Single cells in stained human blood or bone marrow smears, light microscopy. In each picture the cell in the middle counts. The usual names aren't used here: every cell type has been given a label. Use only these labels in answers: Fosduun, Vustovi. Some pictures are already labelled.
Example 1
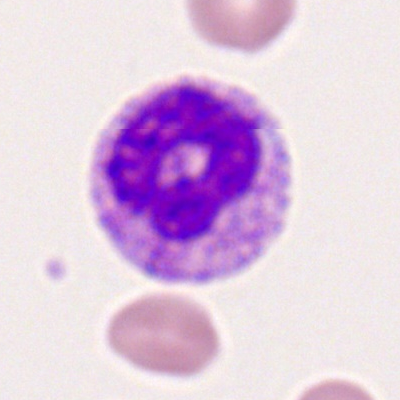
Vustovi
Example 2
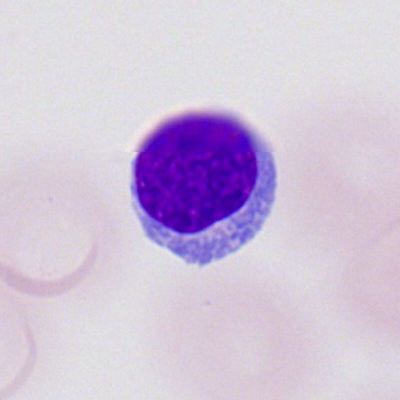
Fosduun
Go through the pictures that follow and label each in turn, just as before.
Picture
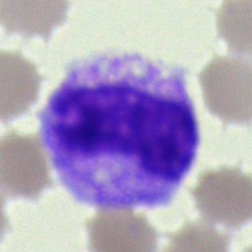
Vustovi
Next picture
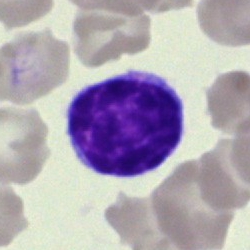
Fosduun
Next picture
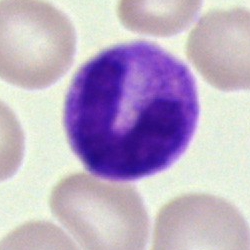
Vustovi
